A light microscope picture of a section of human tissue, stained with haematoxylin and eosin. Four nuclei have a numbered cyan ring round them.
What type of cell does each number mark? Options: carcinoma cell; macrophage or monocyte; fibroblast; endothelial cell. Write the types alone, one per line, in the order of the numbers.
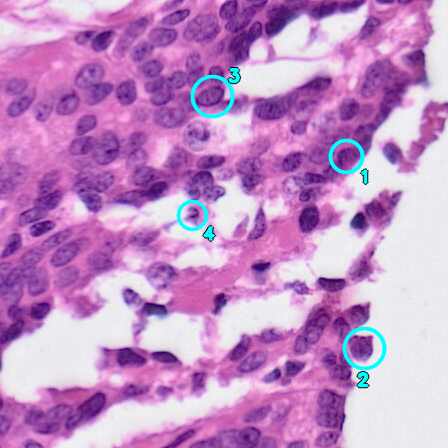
carcinoma cell
carcinoma cell
carcinoma cell
macrophage or monocyte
